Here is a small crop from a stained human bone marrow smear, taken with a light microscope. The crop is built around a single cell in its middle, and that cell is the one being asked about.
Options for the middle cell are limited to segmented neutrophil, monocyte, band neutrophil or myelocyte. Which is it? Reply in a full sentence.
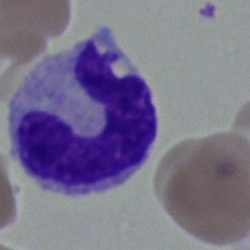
Seen at the centre of the crop is a band neutrophil.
